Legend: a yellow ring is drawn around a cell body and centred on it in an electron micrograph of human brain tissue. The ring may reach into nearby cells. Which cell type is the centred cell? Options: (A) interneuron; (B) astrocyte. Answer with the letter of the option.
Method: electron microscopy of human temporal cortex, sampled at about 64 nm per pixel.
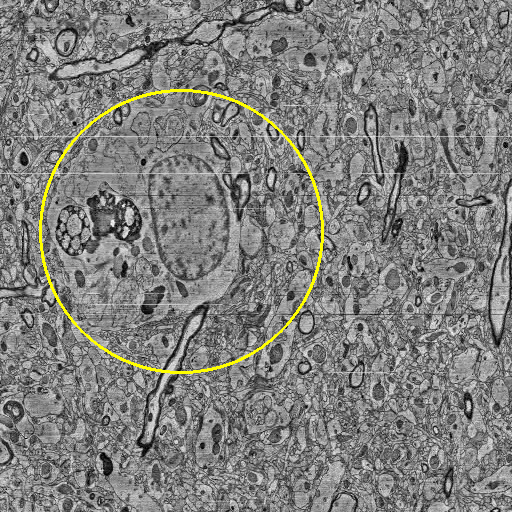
B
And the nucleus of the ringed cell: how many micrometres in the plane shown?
About 8 by 5 micrometres; in this plane the nucleus is clearly longer than it is wide.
